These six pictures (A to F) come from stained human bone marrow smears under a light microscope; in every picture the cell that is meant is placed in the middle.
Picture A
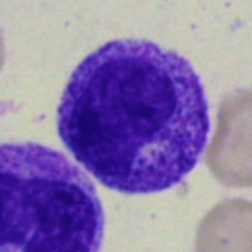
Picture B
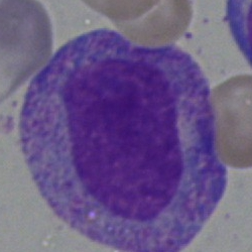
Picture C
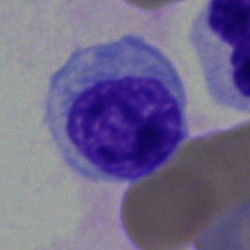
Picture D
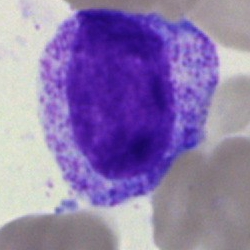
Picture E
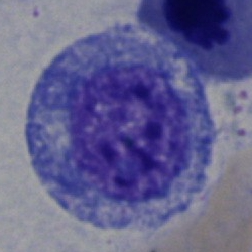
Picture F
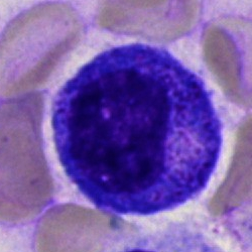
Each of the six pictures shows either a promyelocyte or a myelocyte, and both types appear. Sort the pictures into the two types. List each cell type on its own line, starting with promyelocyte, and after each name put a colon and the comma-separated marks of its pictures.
promyelocyte: B, E, F
myelocyte: A, C, D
